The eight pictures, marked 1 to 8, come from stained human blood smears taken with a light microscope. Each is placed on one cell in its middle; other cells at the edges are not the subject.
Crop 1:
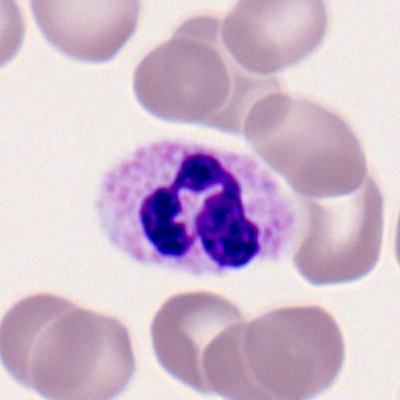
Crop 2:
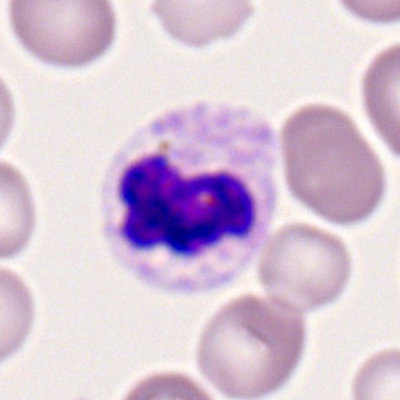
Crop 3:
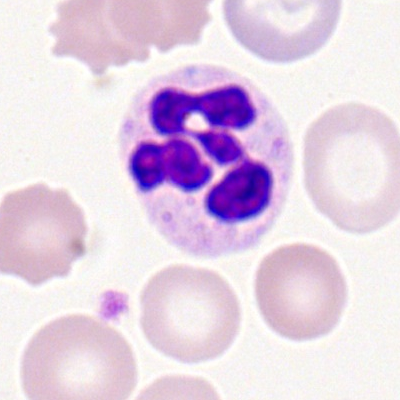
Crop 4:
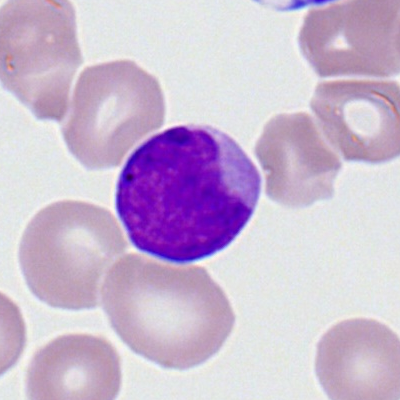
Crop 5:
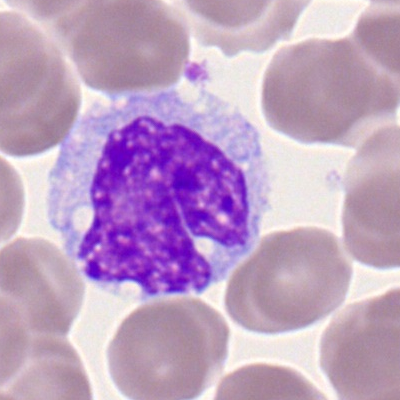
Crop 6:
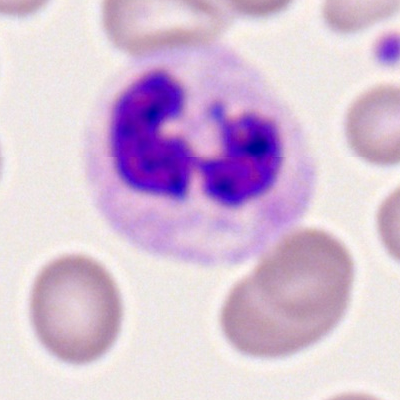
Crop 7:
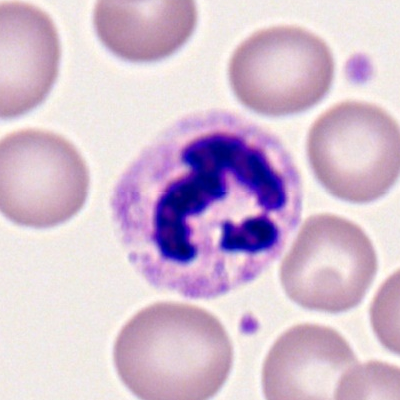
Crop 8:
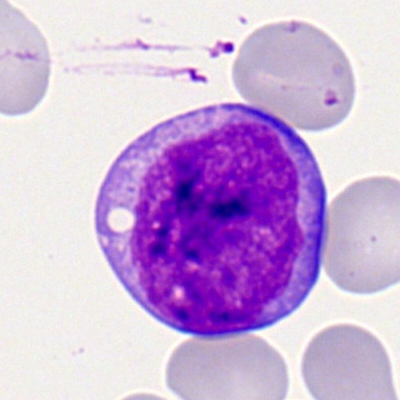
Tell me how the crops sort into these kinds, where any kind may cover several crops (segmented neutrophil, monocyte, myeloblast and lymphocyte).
1: segmented neutrophil
2: segmented neutrophil
3: segmented neutrophil
4: myeloblast
5: monocyte
6: segmented neutrophil
7: segmented neutrophil
8: myeloblast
